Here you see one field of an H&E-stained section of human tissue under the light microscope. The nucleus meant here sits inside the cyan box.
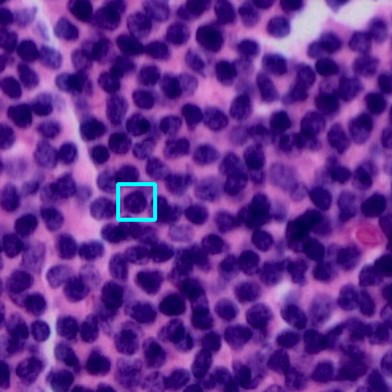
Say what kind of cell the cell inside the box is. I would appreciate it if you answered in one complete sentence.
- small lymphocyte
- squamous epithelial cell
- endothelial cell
In this field of tissue, the cell inside the box is a small lymphocyte.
